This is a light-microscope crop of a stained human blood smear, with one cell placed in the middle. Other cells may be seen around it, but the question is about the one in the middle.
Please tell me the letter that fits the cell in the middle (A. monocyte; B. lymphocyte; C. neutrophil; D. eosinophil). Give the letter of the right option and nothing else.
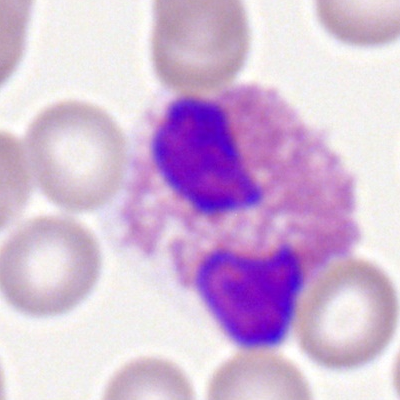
D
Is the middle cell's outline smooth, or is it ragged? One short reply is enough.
Along its border, the cell is uneven, whether by ragged stretches or by projections.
